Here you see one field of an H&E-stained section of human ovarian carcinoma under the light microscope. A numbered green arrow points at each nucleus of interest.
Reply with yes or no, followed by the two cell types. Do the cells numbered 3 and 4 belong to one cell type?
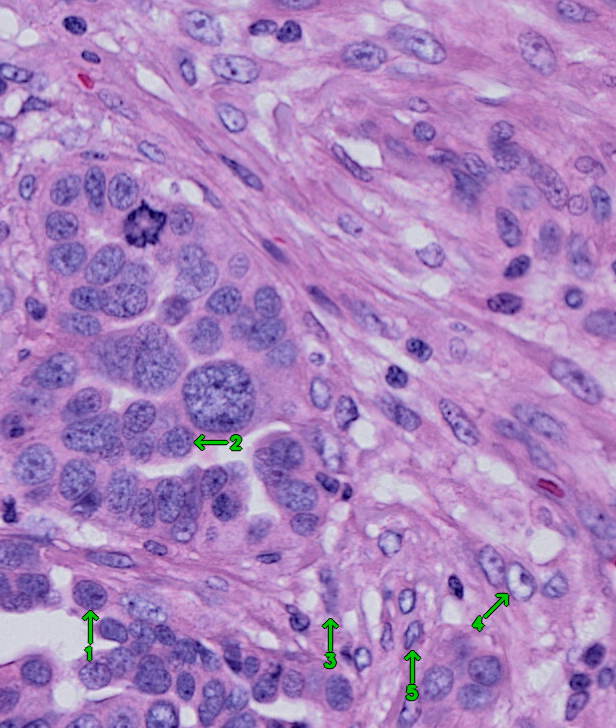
Yes, both are fibroblasts.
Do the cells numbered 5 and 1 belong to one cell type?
No, cell 5 is a fibroblast and cell 1 is a carcinoma cell.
